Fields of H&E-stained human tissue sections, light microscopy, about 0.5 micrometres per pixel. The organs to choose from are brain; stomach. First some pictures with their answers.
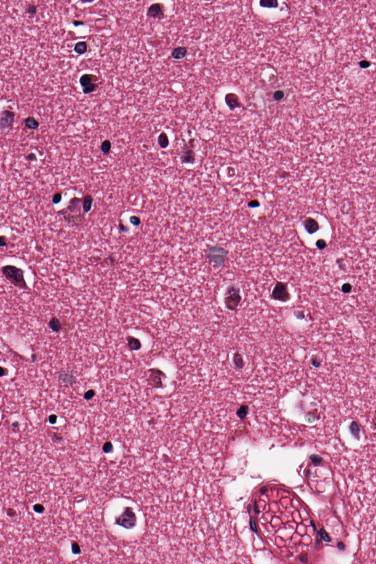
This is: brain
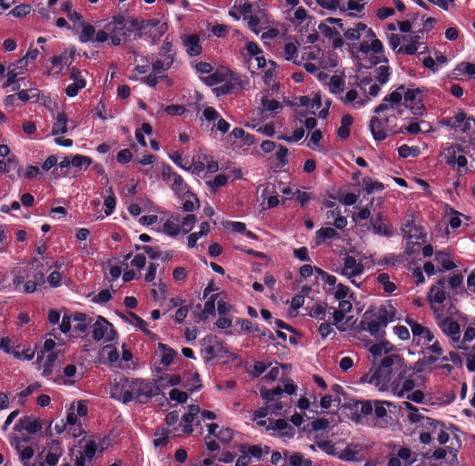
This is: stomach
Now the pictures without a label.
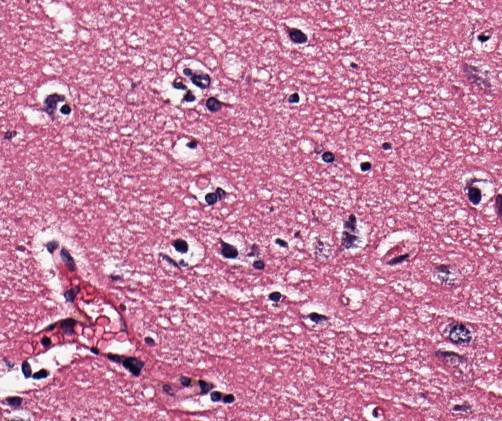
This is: brain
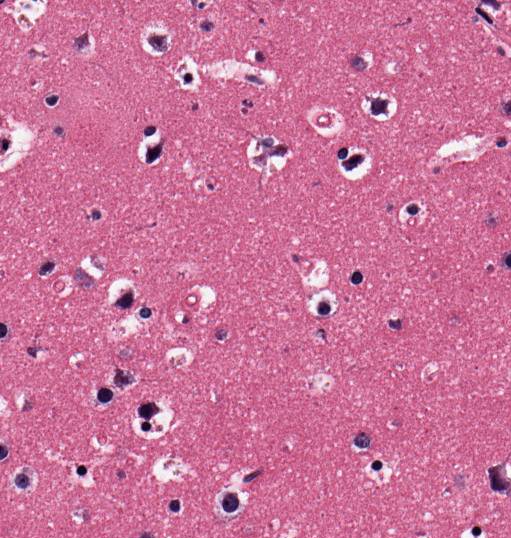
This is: brain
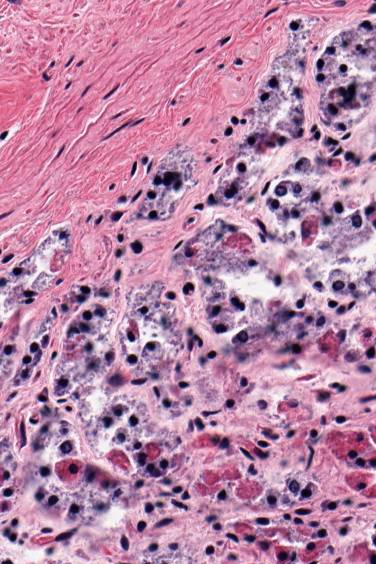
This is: stomach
